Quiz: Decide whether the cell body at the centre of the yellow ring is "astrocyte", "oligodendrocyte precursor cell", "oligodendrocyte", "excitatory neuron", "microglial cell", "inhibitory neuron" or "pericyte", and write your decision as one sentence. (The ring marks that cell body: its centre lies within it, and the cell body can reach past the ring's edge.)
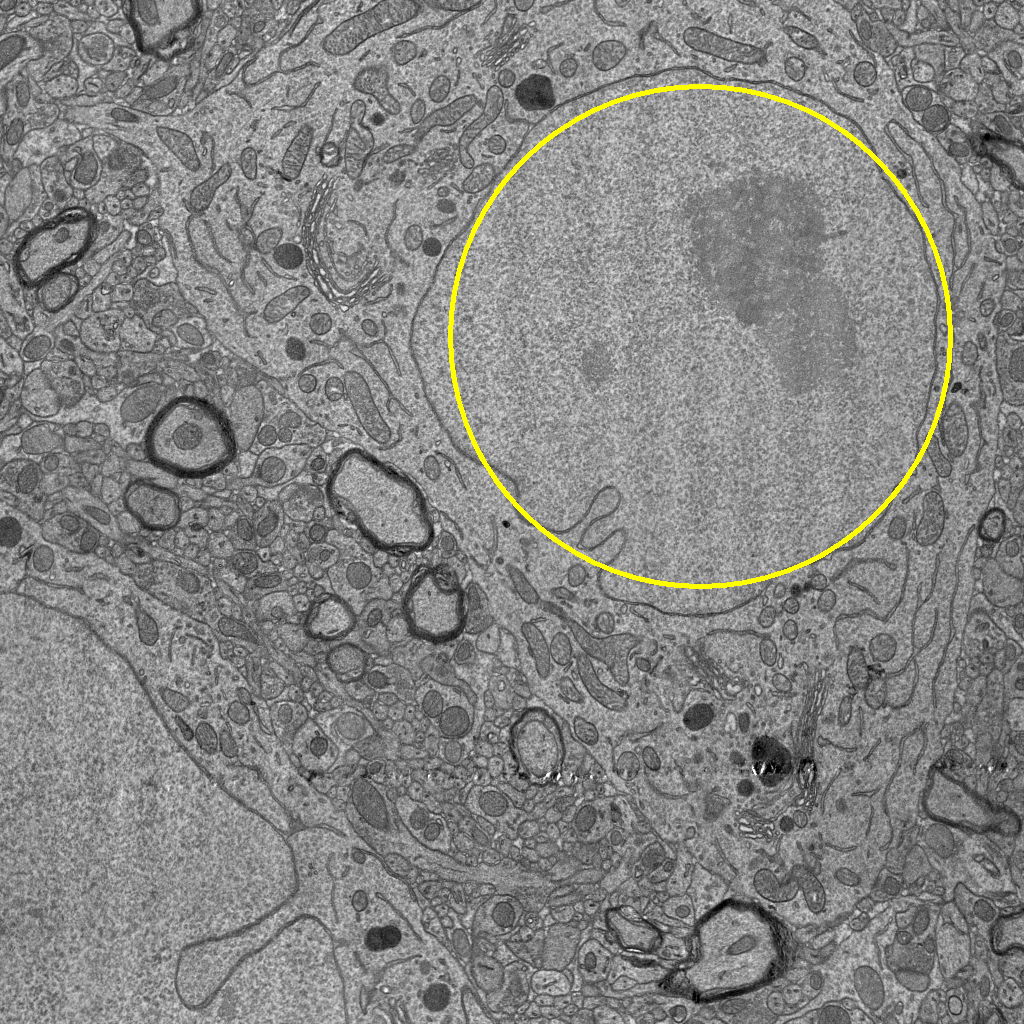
The cell holding the ring's centre is an inhibitory neuron.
